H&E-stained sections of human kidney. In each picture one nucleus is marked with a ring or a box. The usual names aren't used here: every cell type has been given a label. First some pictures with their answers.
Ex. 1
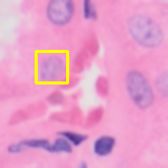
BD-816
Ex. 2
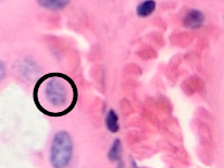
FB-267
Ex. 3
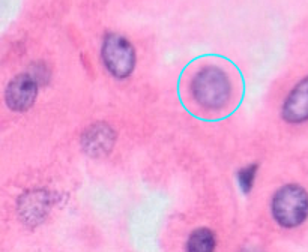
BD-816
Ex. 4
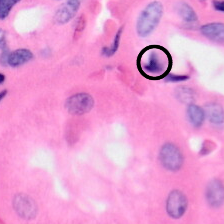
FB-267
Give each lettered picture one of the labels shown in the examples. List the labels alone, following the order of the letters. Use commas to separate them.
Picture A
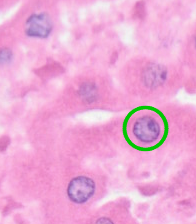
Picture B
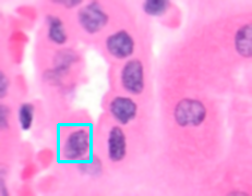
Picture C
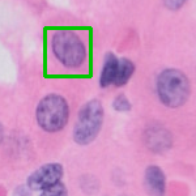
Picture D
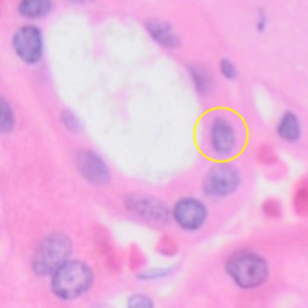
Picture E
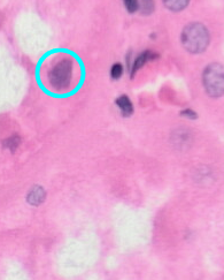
BD-816, FB-267, BD-816, FB-267, BD-816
